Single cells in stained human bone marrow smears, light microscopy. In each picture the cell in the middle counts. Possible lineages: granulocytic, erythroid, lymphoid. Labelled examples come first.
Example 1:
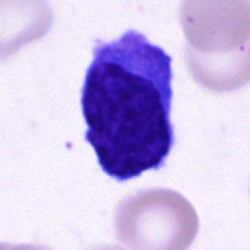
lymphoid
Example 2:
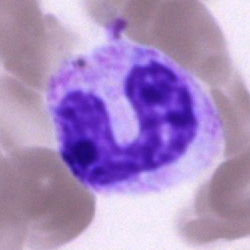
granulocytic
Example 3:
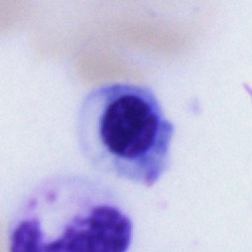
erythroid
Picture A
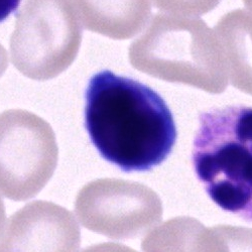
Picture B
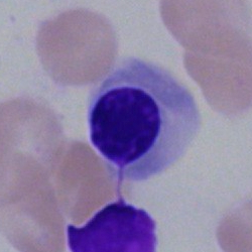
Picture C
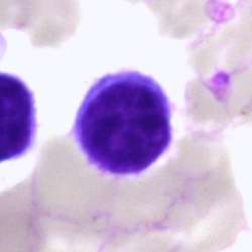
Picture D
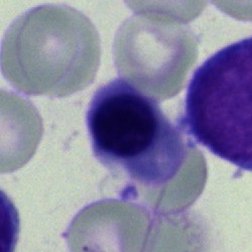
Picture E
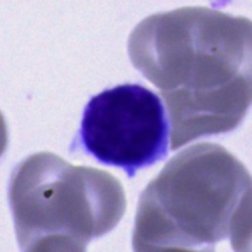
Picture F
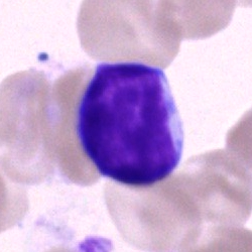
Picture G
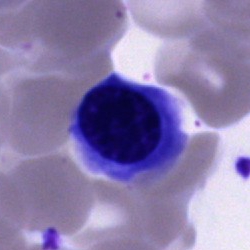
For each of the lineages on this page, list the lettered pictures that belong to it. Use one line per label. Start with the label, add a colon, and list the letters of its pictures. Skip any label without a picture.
erythroid: B, D, G
lymphoid: A, C, E, F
